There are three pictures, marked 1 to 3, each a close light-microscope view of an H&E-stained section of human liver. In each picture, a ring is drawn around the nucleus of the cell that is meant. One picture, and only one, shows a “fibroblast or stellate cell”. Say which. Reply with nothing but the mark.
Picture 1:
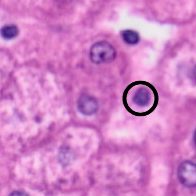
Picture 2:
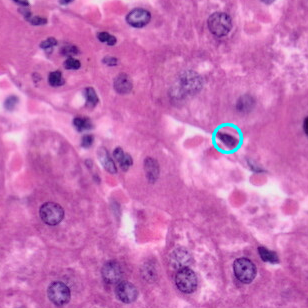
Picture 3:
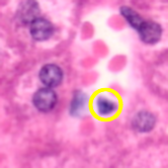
2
